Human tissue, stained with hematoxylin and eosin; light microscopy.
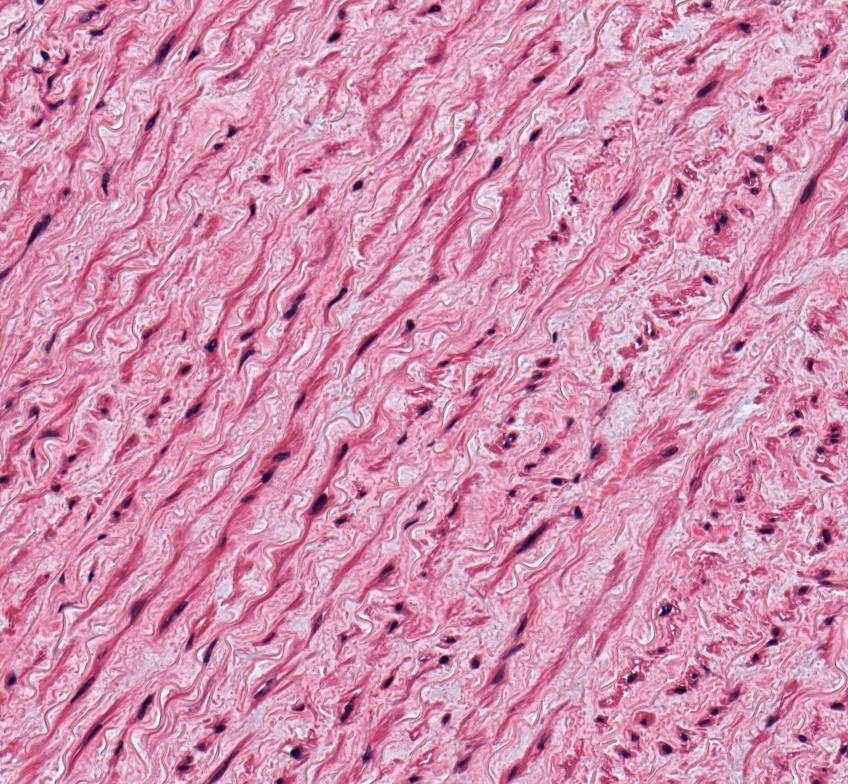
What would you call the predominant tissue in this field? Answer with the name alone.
tunica media of an artery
